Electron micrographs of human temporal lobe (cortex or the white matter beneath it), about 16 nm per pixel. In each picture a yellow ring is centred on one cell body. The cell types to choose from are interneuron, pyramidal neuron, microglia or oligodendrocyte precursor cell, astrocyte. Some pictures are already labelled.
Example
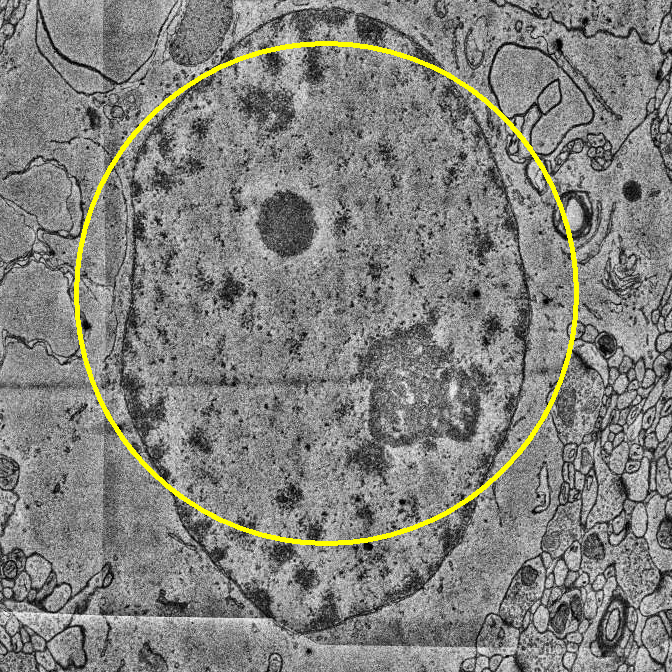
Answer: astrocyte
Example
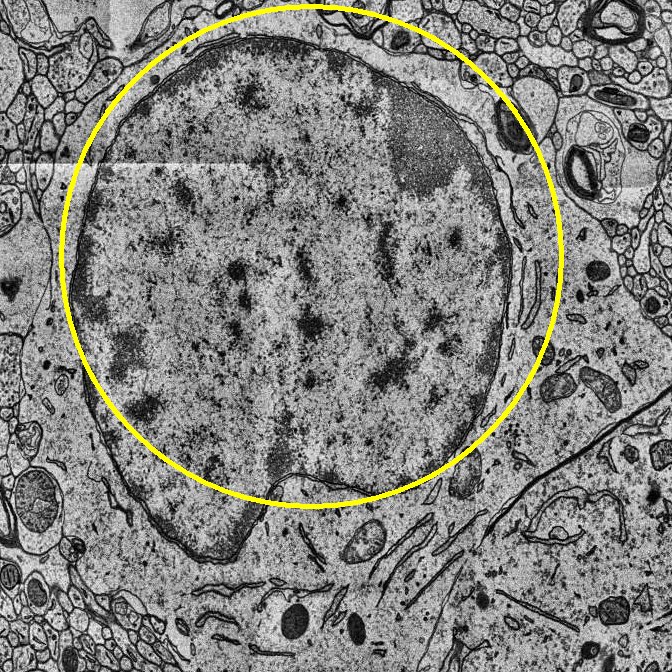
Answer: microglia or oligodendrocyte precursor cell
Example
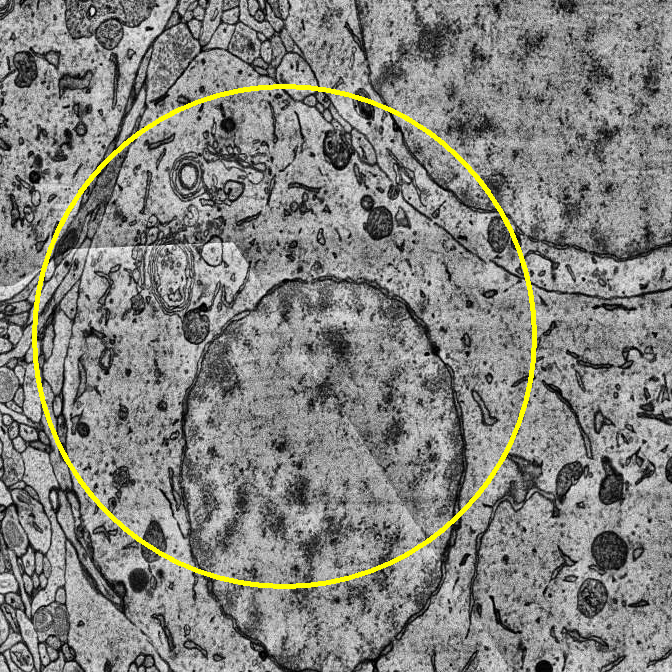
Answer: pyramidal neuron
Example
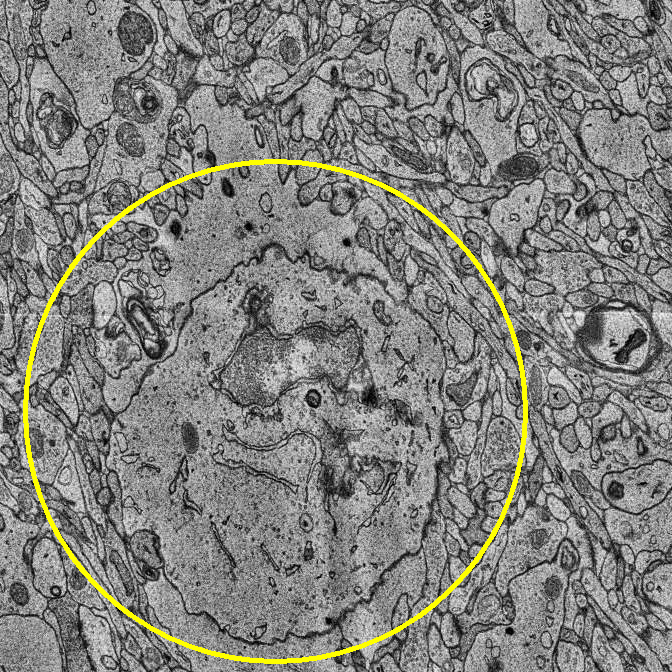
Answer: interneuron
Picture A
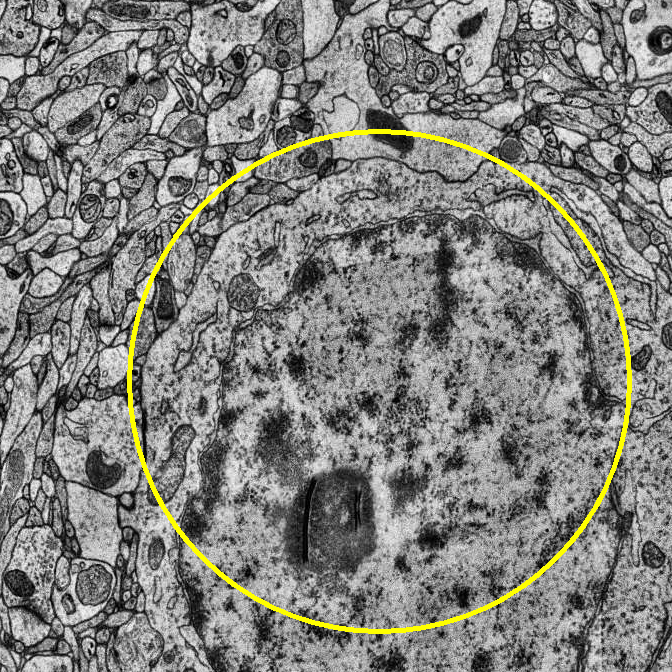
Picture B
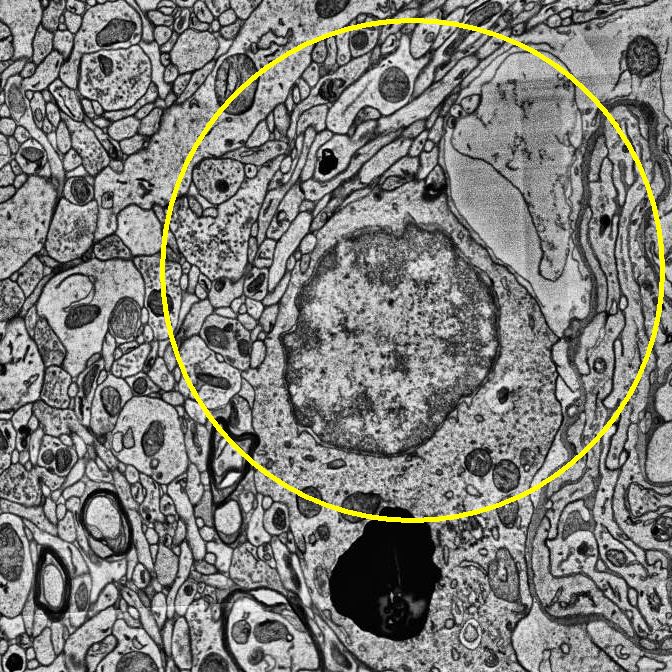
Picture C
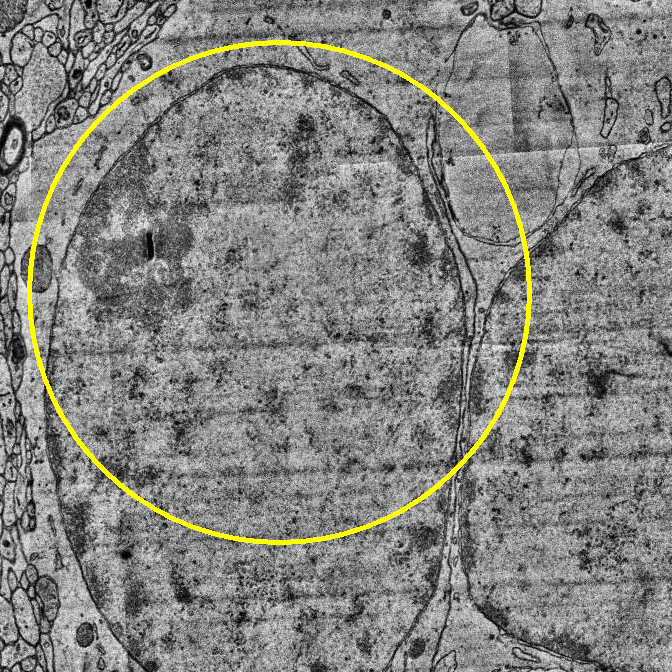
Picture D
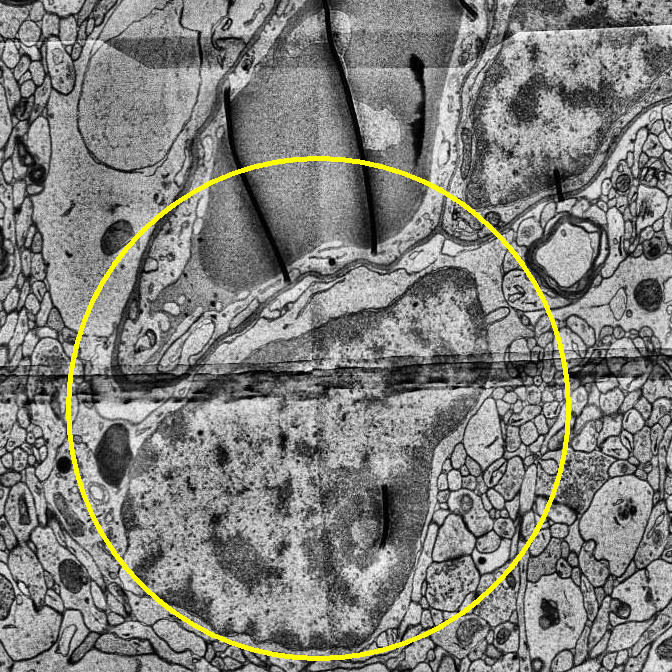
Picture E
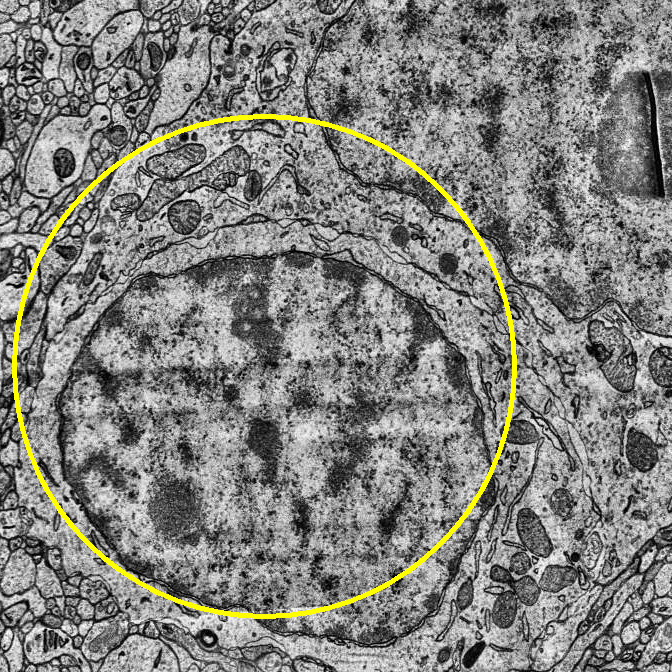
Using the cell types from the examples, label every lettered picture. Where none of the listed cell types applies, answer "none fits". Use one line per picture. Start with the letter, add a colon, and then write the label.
A: interneuron
B: none fits
C: astrocyte
D: microglia or oligodendrocyte precursor cell
E: microglia or oligodendrocyte precursor cell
